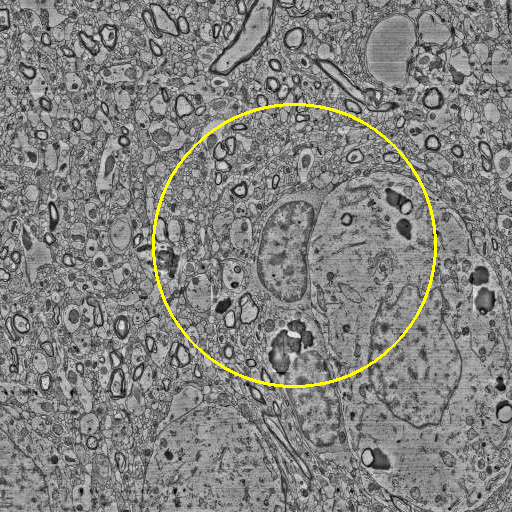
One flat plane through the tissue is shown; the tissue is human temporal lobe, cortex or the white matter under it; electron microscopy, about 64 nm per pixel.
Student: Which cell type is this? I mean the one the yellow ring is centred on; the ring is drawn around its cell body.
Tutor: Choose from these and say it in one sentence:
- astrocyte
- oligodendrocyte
The cell the ring is centred on is an oligodendrocyte.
